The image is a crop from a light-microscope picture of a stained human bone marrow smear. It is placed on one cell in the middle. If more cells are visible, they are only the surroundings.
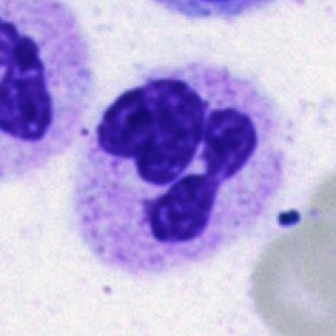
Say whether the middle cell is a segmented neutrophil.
yes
